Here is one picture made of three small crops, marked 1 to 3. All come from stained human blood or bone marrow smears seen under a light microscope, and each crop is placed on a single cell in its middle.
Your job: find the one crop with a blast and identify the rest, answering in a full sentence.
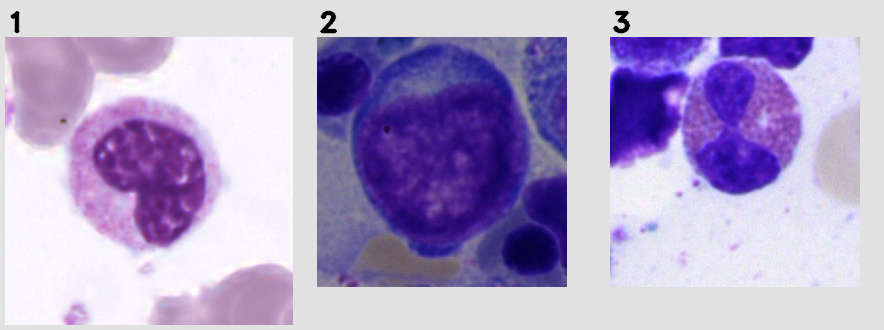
So crop 2 shows a blast, while crop 1 is a metamyelocyte and crop 3 is an eosinophil.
